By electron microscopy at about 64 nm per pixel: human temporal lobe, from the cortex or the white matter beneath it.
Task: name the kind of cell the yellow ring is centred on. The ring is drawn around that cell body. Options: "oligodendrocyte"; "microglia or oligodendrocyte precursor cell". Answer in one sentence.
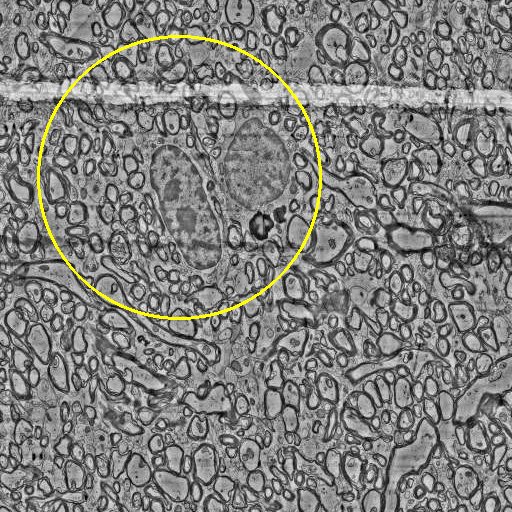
This cell body belongs to a microglial cell or oligodendrocyte precursor cell.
